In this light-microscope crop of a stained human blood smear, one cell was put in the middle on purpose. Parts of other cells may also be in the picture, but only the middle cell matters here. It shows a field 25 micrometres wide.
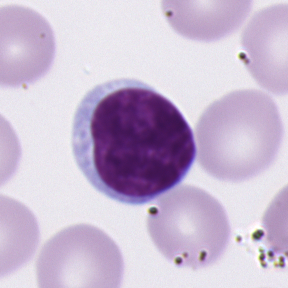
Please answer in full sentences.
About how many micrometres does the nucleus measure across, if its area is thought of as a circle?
About 9 micrometres: that is the diameter of the nucleus.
